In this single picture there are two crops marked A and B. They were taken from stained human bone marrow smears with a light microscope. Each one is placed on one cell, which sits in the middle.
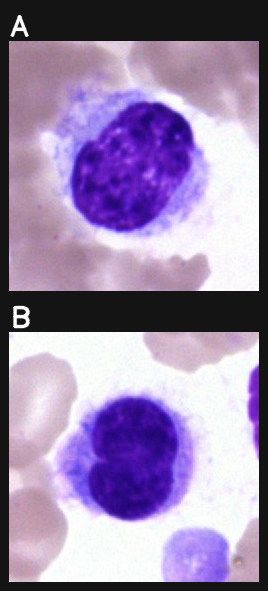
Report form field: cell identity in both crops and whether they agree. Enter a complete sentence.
Yes, both crops have hairy cells as their central cells.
